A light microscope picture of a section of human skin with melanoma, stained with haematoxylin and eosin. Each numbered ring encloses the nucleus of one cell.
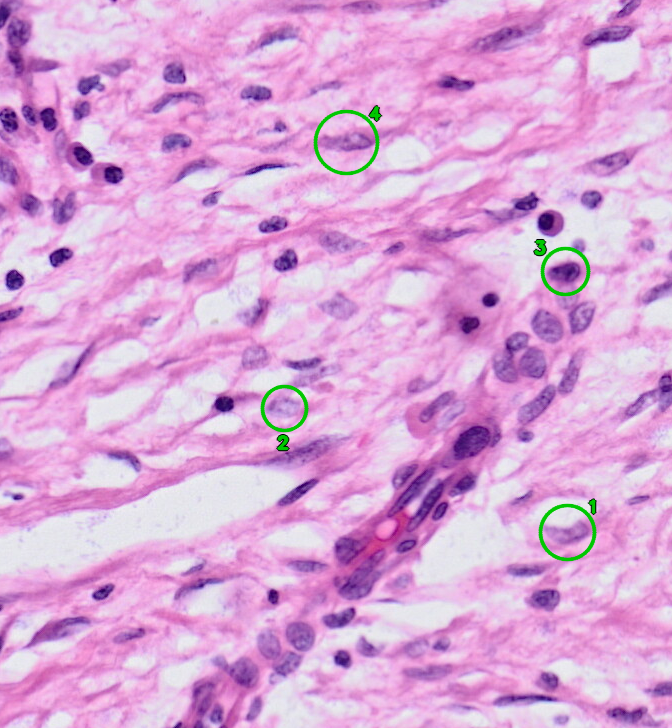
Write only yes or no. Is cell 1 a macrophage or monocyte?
no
